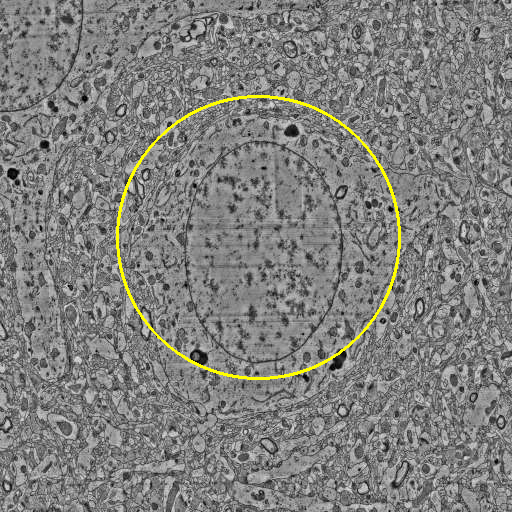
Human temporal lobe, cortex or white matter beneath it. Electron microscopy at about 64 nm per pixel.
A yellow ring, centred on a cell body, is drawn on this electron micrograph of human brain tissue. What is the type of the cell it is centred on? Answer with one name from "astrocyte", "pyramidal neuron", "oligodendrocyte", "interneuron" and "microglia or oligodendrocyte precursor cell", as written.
pyramidal neuron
